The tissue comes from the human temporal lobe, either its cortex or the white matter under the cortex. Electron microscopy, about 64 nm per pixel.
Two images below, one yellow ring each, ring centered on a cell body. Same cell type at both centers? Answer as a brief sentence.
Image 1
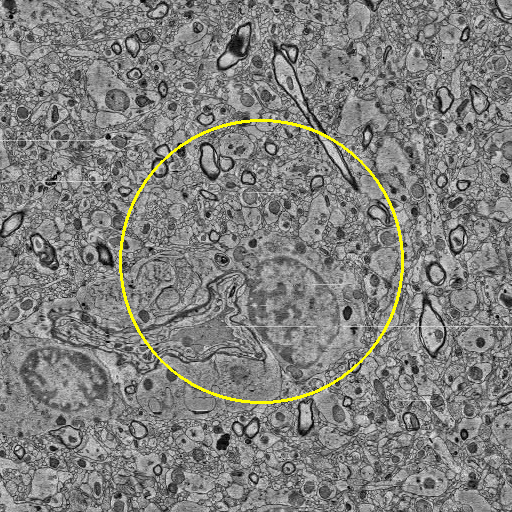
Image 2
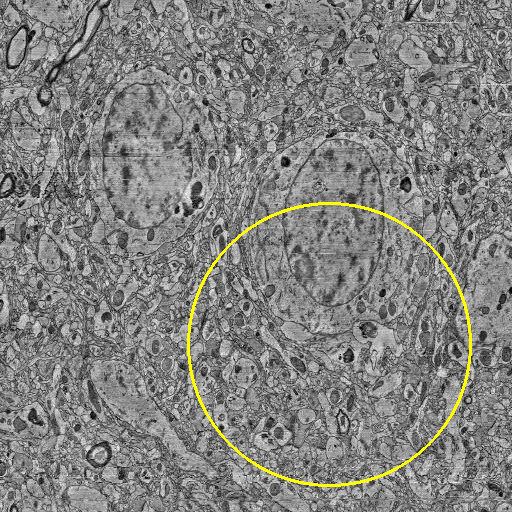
No, the cells are of two separate types.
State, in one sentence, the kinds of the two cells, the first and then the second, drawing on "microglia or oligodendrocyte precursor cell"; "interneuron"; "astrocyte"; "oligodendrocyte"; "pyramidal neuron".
The ring in the second picture is centred on a microglial cell or oligodendrocyte precursor cell, the ring in the first on an oligodendrocyte.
